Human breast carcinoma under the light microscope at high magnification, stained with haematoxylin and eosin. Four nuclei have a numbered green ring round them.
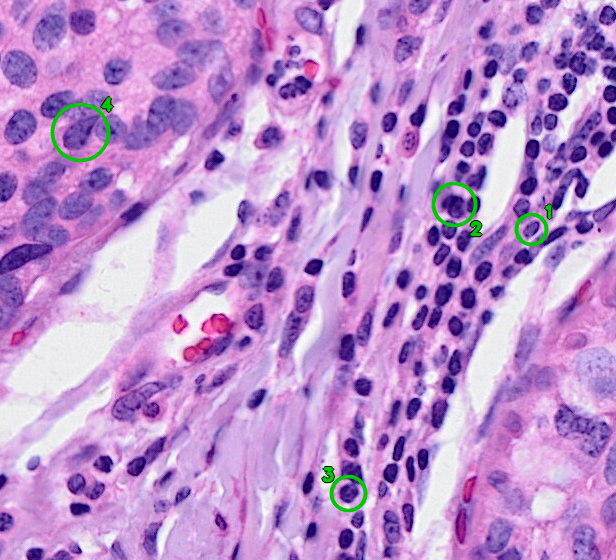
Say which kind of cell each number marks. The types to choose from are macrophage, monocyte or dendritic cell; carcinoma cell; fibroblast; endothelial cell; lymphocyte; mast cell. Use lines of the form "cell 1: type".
cell 1: lymphocyte
cell 2: lymphocyte
cell 3: lymphocyte
cell 4: carcinoma cell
